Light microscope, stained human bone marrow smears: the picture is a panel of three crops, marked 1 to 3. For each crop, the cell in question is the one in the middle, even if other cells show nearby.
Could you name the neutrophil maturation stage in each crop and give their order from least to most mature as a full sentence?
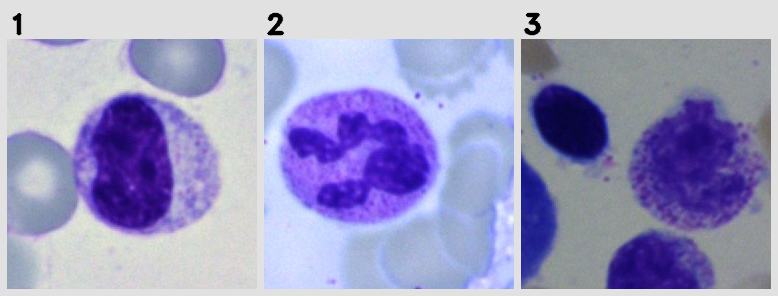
From earliest to most mature stage, the crops go crop 1 (a metamyelocyte), crop 3 (a band neutrophil) and crop 2 (a segmented neutrophil).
